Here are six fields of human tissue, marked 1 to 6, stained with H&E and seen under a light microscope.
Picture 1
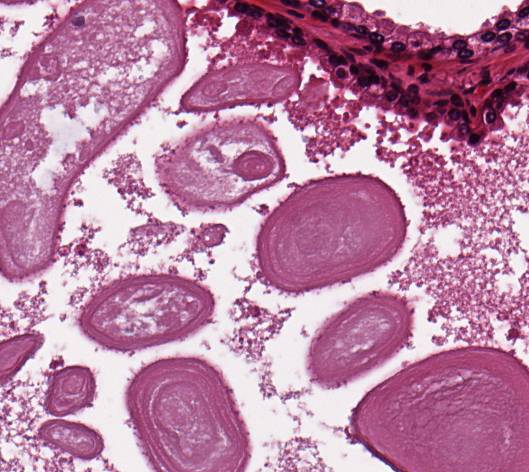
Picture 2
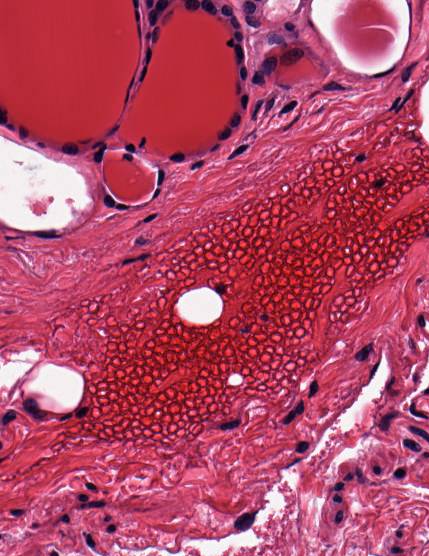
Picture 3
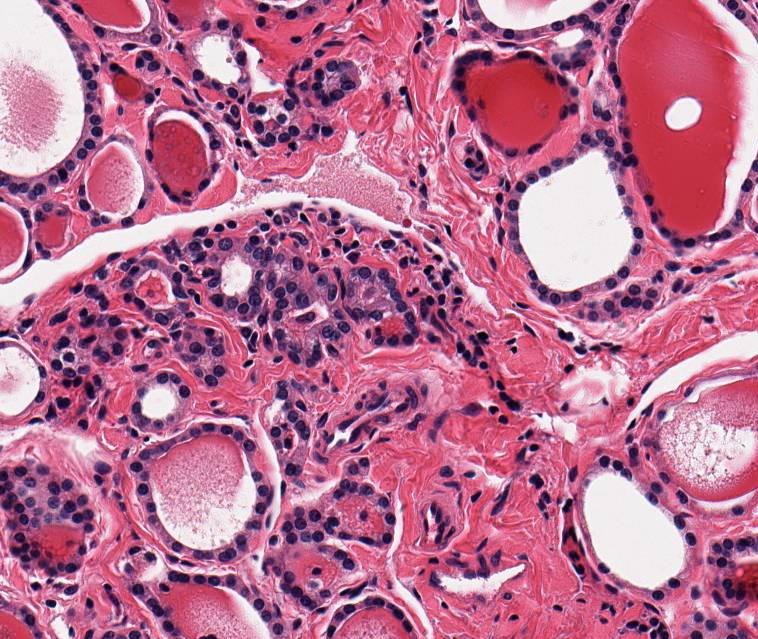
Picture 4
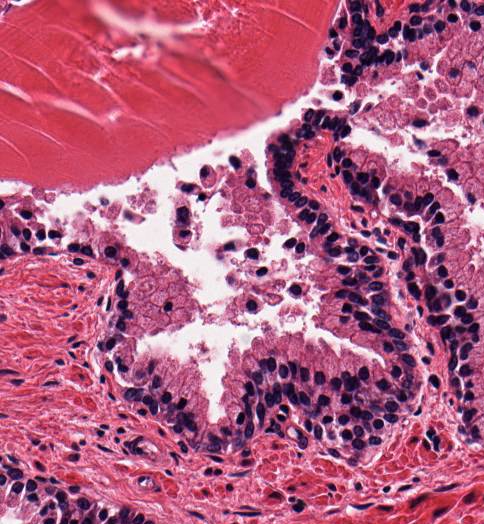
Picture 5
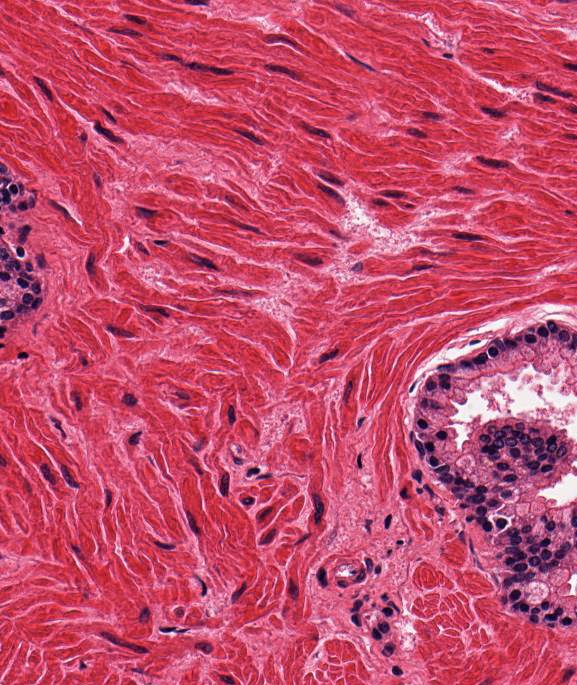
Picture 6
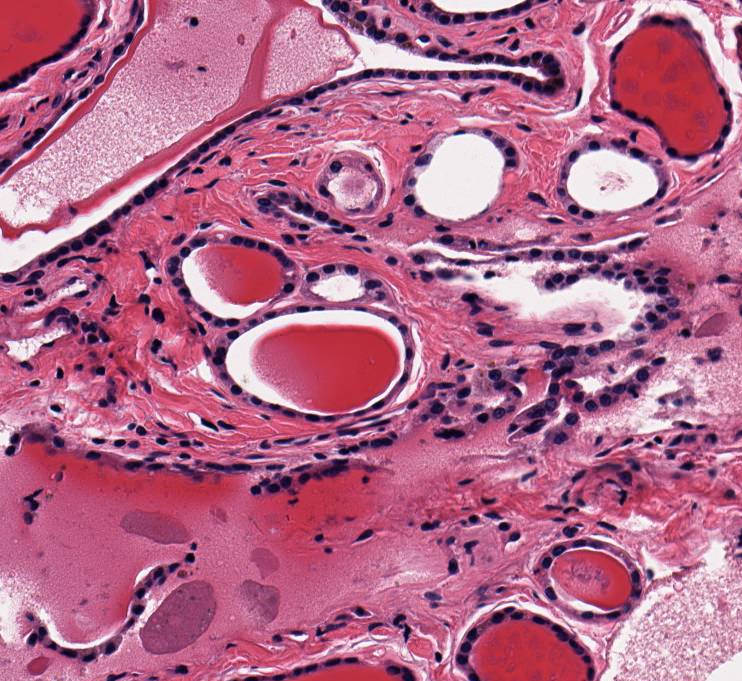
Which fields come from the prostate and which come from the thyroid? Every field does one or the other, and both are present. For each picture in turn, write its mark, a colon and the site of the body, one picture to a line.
1: prostate
2: thyroid
3: thyroid
4: prostate
5: prostate
6: thyroid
